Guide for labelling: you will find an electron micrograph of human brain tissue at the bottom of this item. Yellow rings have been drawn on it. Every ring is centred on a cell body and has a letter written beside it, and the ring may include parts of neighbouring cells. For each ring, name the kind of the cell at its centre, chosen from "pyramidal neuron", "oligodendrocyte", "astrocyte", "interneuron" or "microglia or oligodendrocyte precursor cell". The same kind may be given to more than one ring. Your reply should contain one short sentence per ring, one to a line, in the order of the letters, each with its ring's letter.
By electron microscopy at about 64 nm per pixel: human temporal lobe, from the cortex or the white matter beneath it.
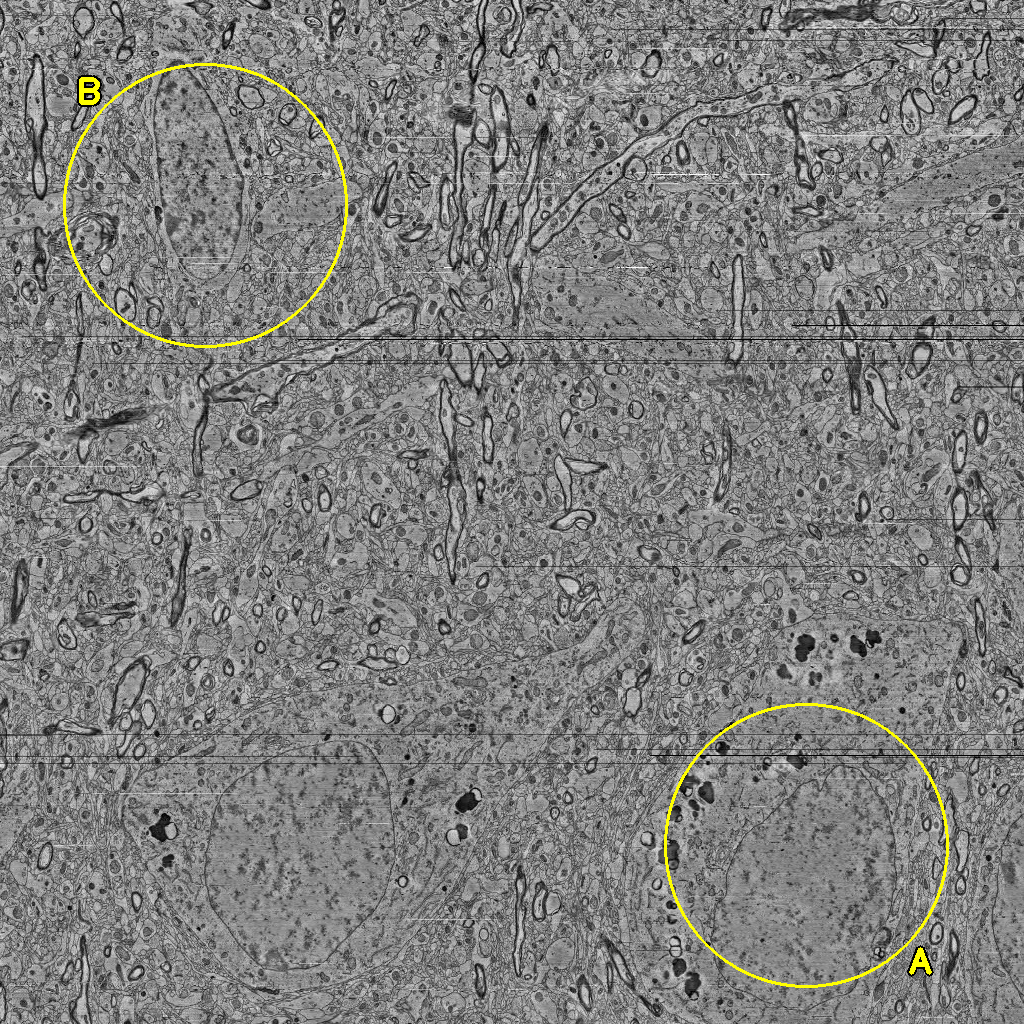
Ring A is centred on the body of a pyramidal neuron.
Ring B is centred on the body of a microglial cell or oligodendrocyte precursor cell.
